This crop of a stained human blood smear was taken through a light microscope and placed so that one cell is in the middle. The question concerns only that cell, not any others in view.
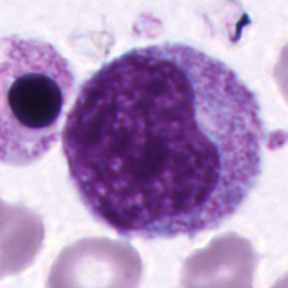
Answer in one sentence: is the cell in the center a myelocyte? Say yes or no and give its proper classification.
No, wrong label: the middle cell is a promyelocyte instead of a myelocyte.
